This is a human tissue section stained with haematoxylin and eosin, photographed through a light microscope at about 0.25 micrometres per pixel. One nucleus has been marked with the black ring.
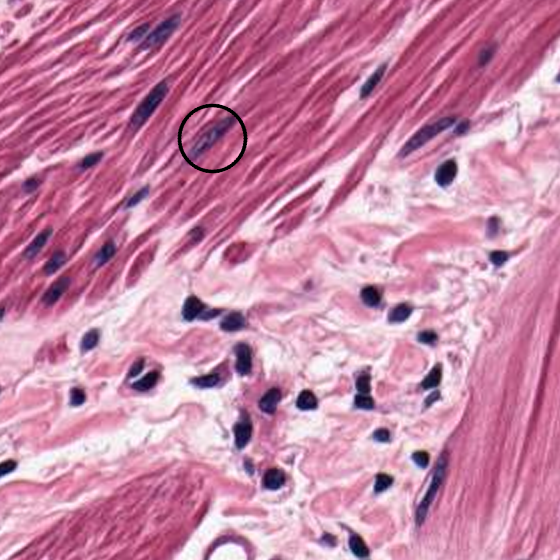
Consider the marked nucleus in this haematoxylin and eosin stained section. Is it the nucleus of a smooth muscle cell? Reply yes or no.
yes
